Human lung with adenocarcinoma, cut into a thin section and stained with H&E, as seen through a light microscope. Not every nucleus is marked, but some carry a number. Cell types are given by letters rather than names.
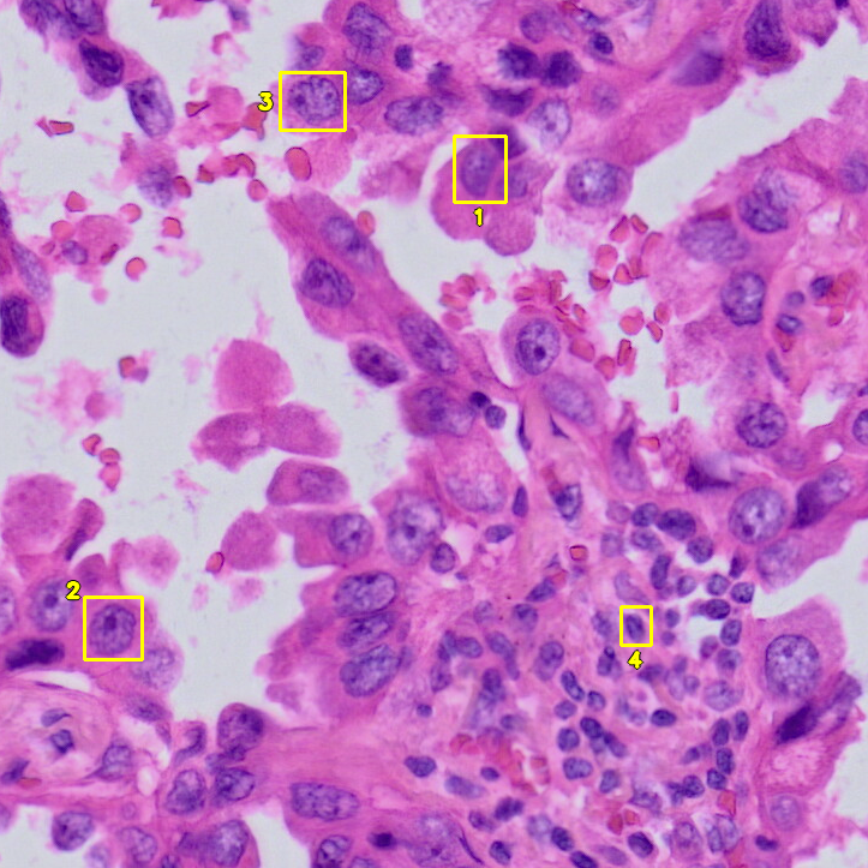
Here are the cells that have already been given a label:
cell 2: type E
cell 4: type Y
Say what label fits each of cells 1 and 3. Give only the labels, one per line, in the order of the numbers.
type E
type E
